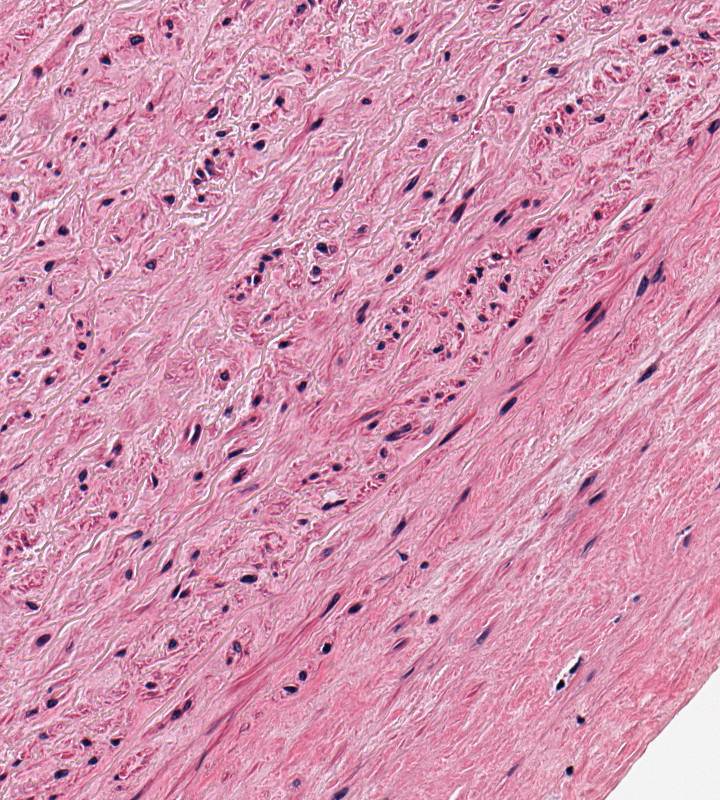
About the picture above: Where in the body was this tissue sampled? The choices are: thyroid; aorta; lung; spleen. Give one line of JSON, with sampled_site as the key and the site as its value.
{"sampled_site": "aorta"}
